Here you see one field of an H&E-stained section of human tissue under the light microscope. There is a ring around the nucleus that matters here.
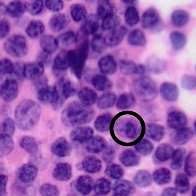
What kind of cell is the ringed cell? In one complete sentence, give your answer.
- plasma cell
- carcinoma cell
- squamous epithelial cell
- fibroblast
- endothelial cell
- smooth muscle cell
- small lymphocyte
The cell type of the ringed cell is that of a small lymphocyte.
